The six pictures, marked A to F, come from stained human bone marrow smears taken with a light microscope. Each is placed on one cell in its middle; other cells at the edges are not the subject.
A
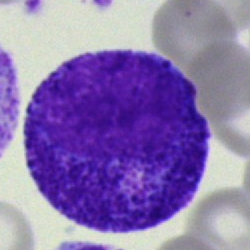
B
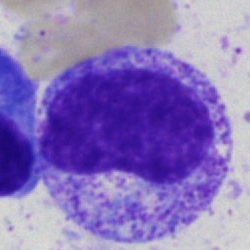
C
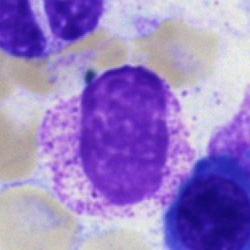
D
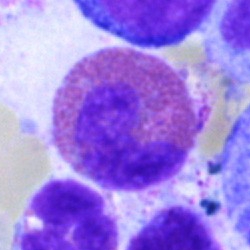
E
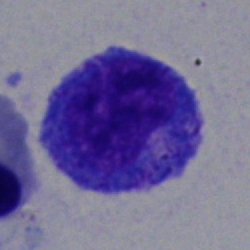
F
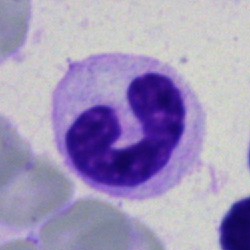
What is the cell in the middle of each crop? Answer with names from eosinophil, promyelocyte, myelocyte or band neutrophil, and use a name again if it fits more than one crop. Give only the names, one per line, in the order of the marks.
promyelocyte
myelocyte
myelocyte
eosinophil
promyelocyte
band neutrophil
